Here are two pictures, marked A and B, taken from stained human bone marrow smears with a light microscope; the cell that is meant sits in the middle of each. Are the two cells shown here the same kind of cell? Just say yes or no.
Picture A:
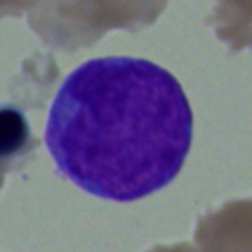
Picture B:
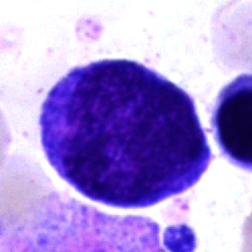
yes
